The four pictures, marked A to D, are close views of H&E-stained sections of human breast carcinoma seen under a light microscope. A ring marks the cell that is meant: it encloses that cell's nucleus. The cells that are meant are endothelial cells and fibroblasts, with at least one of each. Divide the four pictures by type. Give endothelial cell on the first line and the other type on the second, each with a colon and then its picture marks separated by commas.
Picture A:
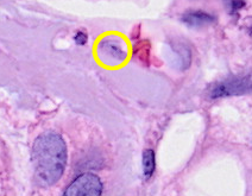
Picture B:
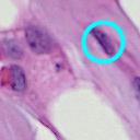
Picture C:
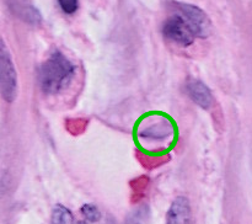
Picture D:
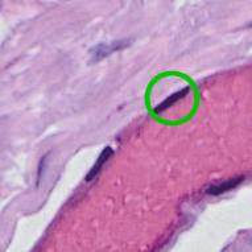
endothelial cell: A, C, D
fibroblast: B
